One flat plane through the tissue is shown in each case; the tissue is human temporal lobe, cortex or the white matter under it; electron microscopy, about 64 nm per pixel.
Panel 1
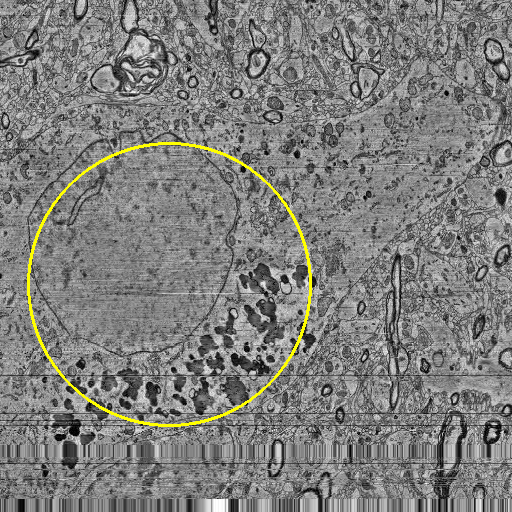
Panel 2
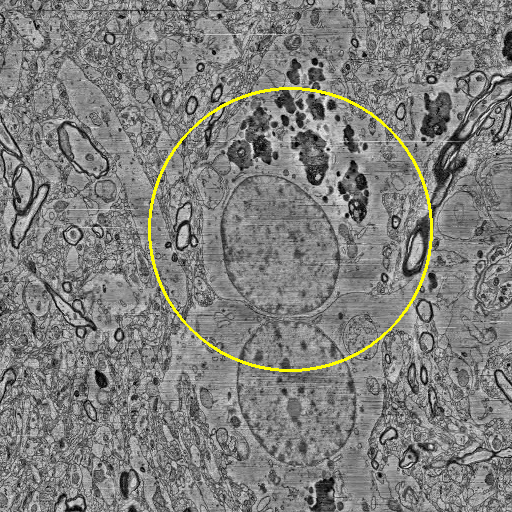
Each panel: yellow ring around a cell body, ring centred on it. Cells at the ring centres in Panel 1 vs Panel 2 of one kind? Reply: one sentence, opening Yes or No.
No, Panel 1 and Panel 2 have cells of two kinds at the ring centres.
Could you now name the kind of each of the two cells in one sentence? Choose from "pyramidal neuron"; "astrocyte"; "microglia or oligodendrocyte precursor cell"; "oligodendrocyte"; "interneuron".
The first ring encloses a pyramidal neuron; the second ring encloses an astrocyte.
